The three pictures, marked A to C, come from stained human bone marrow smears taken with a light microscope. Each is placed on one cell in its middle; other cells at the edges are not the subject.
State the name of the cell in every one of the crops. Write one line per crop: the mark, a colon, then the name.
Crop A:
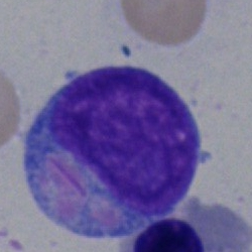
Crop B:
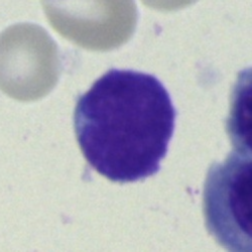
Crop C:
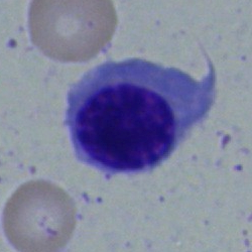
A: blast
B: lymphocyte
C: erythroblast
